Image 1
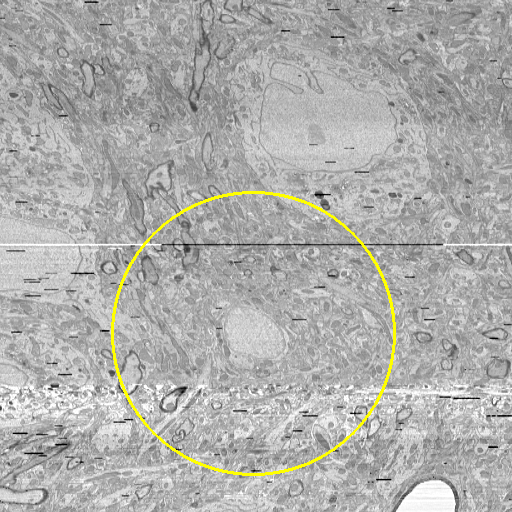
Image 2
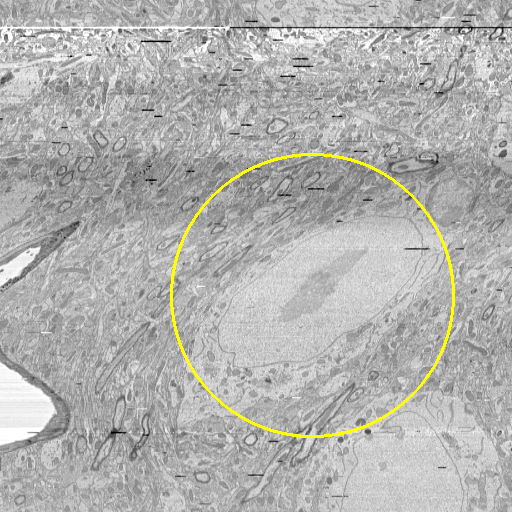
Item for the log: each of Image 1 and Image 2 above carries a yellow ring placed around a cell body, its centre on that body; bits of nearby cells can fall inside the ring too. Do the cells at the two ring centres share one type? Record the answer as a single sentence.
No, the two cells at the ring centres in Image 1 and Image 2 are of two types.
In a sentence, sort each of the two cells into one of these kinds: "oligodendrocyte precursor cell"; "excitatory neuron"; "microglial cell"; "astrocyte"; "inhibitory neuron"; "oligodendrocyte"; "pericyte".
The first of the two cells is an oligodendrocyte precursor cell, and the second is an excitatory neuron.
